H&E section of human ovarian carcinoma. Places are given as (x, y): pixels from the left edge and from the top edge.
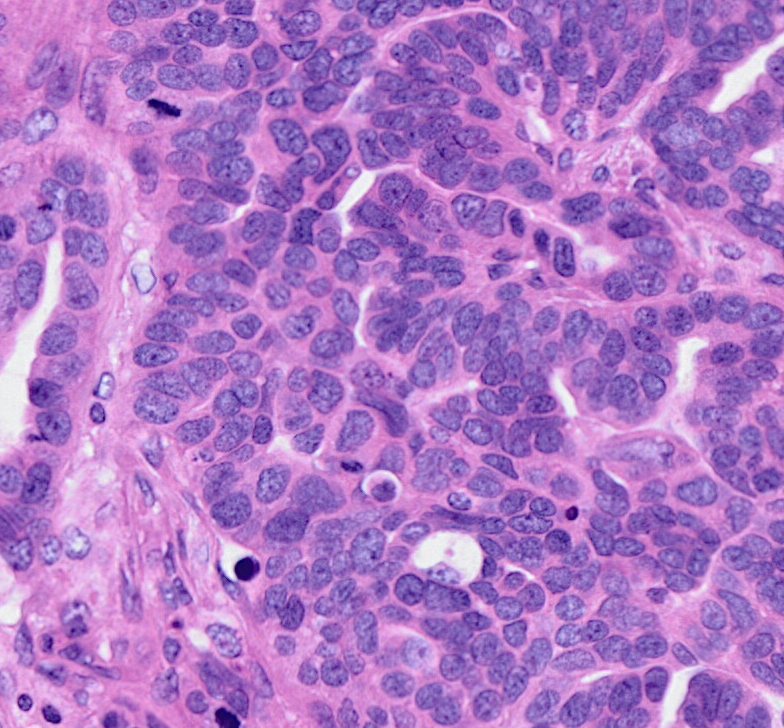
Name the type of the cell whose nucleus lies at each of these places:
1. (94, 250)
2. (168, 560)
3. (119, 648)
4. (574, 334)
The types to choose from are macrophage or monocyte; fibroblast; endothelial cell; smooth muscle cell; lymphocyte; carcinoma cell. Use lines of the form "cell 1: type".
cell 1: carcinoma cell
cell 2: fibroblast
cell 3: fibroblast
cell 4: carcinoma cell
